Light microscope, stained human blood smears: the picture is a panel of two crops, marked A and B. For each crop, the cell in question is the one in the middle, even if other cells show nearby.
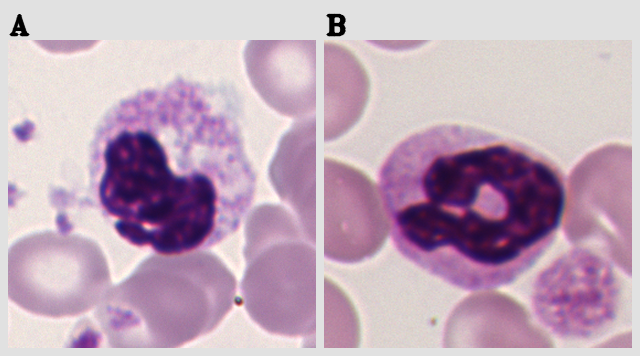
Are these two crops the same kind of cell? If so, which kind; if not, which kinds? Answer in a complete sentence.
Yes, both crops are centred on cells that are segmented neutrophils.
